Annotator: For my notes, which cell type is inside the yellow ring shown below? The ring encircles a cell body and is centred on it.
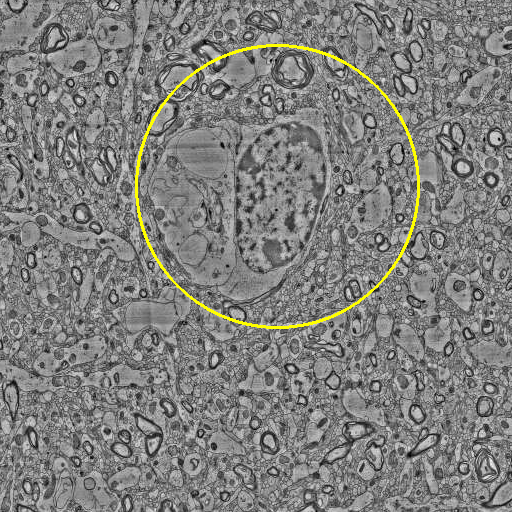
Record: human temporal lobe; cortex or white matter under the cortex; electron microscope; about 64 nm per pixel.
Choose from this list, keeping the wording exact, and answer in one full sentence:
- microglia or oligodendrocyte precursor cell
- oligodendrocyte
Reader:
At the centre of the yellow ring there is a microglial cell or oligodendrocyte precursor cell, as shown in the picture.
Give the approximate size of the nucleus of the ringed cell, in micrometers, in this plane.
In this plane the nucleus is roughly 10 by 6 micrometres, clearly longer than it is wide.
